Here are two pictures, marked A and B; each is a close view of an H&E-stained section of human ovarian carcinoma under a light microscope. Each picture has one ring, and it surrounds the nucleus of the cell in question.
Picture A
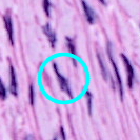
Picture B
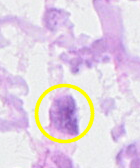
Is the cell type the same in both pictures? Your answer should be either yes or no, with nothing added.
yes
